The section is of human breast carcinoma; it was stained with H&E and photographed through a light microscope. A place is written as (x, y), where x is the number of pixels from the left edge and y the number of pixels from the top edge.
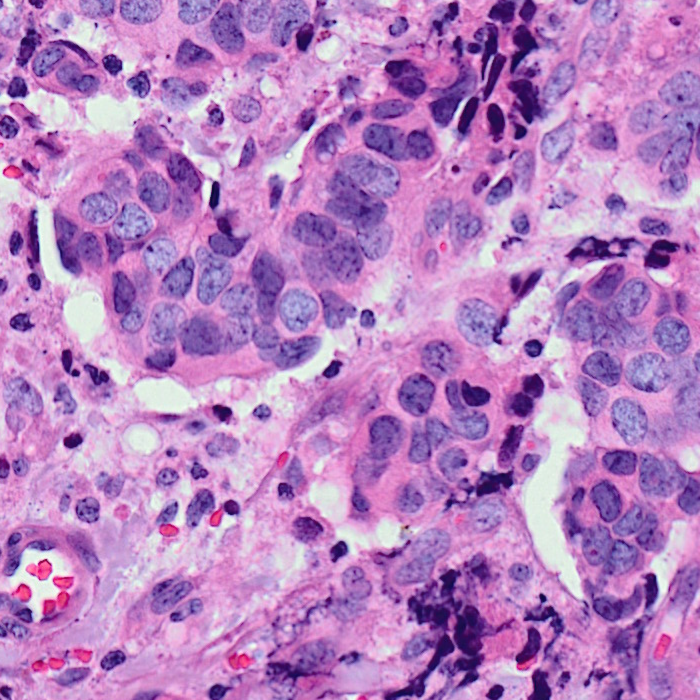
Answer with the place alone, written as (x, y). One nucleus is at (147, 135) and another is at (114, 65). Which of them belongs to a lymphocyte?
(114, 65)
